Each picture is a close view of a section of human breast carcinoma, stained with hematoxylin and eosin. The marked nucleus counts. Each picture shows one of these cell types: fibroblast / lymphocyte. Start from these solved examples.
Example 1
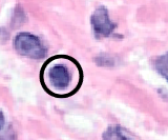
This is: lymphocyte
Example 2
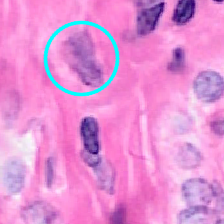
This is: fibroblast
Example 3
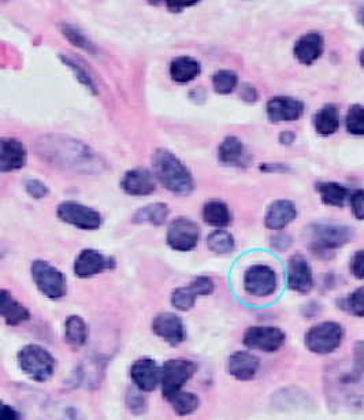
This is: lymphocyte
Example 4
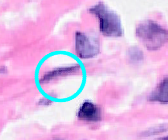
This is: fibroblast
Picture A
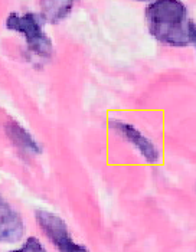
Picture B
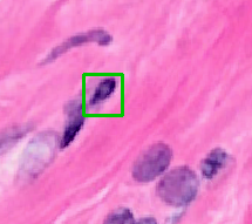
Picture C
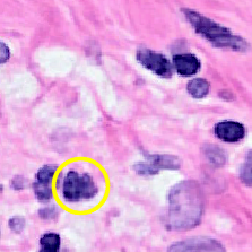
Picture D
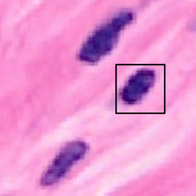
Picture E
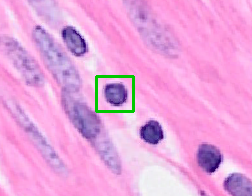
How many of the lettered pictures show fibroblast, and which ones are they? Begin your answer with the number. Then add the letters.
Count: 1 (A)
